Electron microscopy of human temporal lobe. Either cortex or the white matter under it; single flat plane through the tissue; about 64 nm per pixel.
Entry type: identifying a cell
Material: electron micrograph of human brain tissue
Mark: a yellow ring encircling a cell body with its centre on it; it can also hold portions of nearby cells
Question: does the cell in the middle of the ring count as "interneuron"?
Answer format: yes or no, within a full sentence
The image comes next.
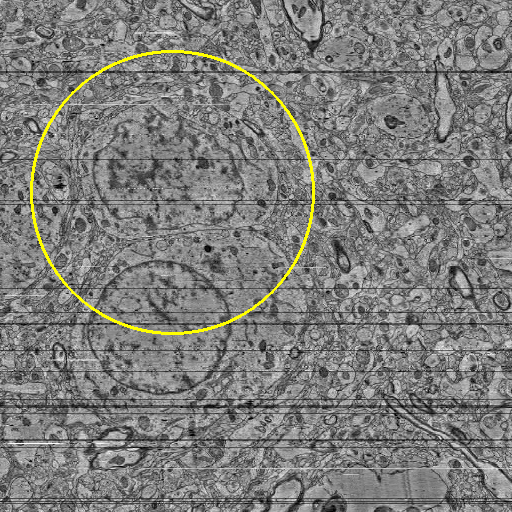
Yes, in the image, the cell in the middle of the yellow ring counts as the queried kind.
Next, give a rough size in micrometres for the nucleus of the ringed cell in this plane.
About 10 by 7 micrometres in this plane.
